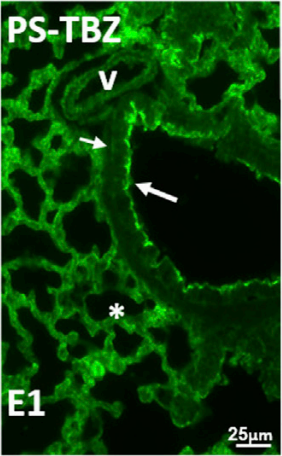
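Lung tissue showing a bronchiole on the right with a dark lumen, a small vessel above it, and alveolar parenchyma to the left. The luminal border of the bronchiolar epithelium is brightly green, while the base of the epithelium shows little labeling. The parenchyma forms a dense network of thin septa, all strongly green, enclosing dark rounded alveolar spaces. The small vessel appears as a ring with a narrow dark lumen.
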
